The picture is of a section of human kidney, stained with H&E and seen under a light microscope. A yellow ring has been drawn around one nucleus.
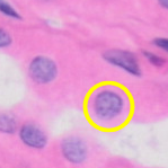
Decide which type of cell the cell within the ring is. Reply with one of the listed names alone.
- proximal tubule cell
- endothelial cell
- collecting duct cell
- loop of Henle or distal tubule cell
loop of Henle or distal tubule cell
